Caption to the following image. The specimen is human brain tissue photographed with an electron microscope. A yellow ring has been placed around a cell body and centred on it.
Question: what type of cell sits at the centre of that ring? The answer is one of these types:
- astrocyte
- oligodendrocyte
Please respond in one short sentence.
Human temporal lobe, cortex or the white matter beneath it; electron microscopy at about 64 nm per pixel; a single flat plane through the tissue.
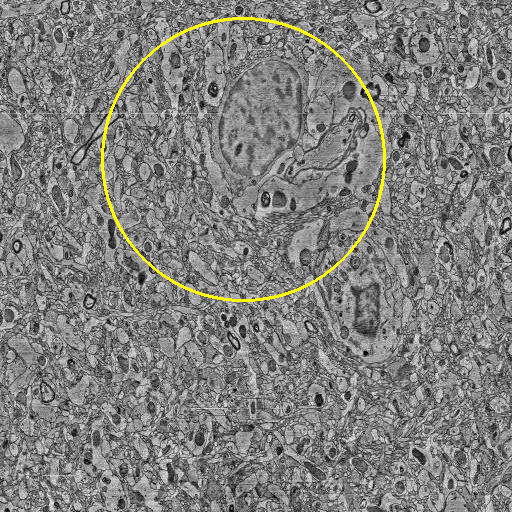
The ring surrounds the cell body of an oligodendrocyte.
